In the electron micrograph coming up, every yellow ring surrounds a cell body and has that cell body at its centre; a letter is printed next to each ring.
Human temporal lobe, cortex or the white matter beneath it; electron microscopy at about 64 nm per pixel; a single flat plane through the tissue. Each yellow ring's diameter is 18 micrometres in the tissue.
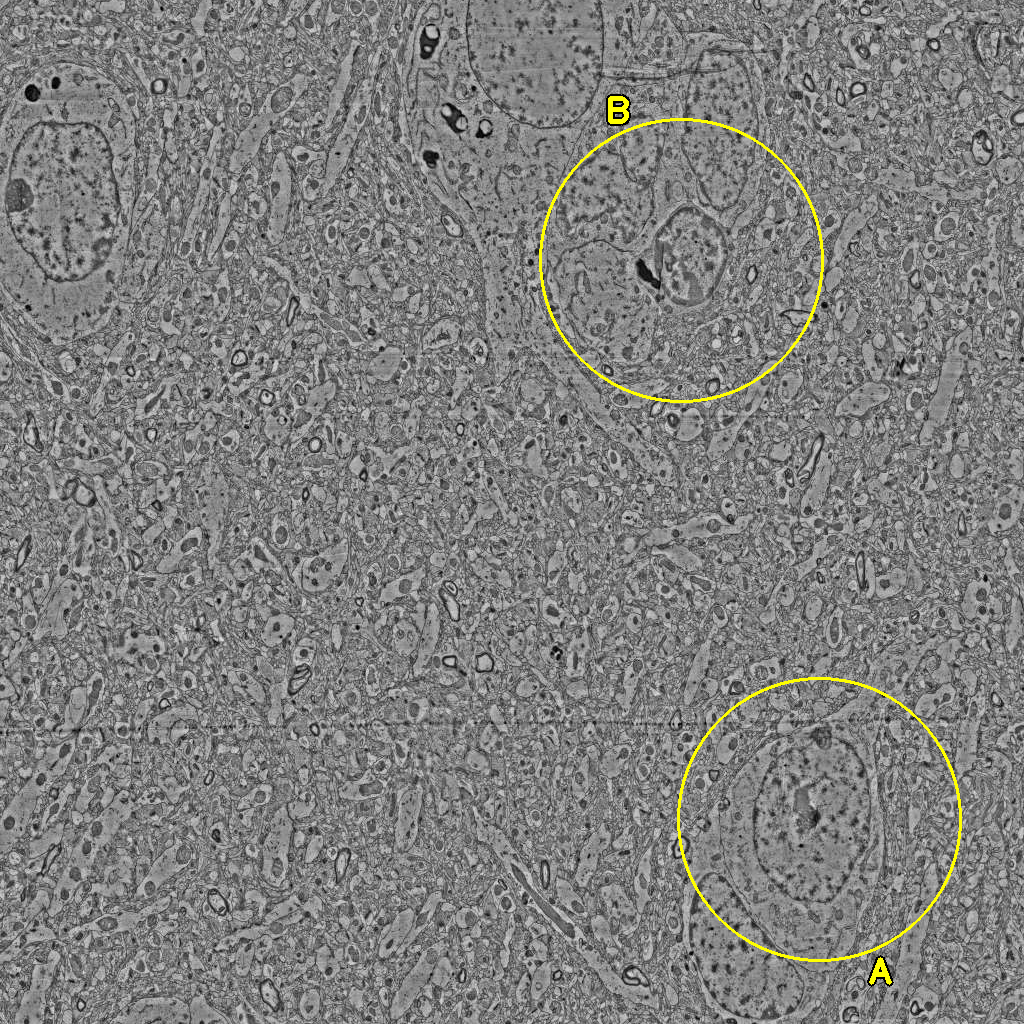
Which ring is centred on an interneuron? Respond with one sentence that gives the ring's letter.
Ring A is the one whose centre sits on the cell asked for in the picture.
